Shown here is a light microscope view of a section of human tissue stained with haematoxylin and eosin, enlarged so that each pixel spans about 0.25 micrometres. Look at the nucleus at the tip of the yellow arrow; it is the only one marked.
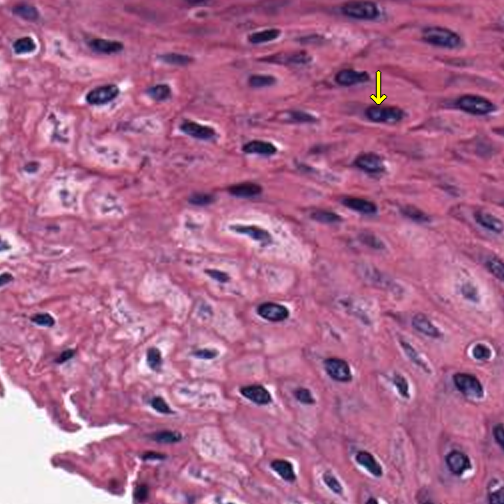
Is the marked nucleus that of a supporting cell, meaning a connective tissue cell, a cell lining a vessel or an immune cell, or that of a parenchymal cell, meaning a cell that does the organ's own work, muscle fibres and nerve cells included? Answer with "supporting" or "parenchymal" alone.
parenchymal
